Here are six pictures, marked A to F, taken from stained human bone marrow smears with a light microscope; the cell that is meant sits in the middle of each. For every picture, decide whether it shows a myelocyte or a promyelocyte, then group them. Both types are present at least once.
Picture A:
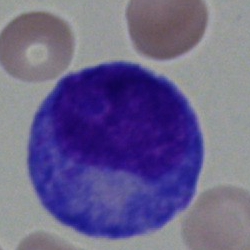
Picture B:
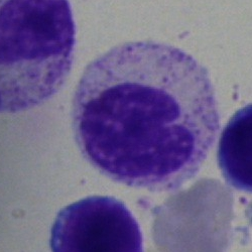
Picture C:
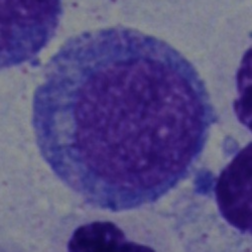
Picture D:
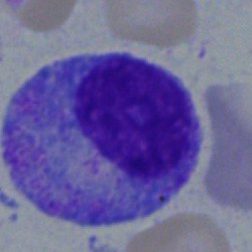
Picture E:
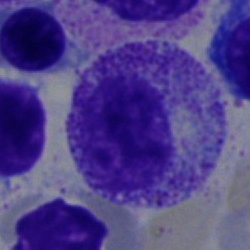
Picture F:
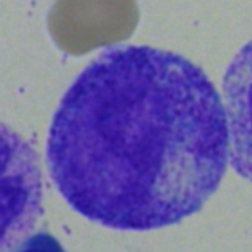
A: promyelocyte
B: myelocyte
C: promyelocyte
D: promyelocyte
E: myelocyte
F: promyelocyte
